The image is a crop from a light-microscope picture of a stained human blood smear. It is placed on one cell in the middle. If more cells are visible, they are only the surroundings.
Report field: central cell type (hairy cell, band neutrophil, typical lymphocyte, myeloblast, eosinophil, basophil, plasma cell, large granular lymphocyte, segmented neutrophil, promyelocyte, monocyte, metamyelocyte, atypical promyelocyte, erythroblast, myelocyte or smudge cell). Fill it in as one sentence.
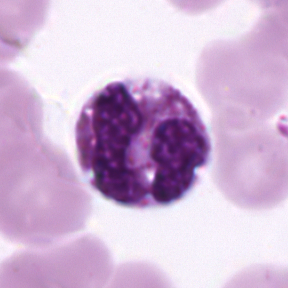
To answer, the cell in the center of the crop is an eosinophil.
